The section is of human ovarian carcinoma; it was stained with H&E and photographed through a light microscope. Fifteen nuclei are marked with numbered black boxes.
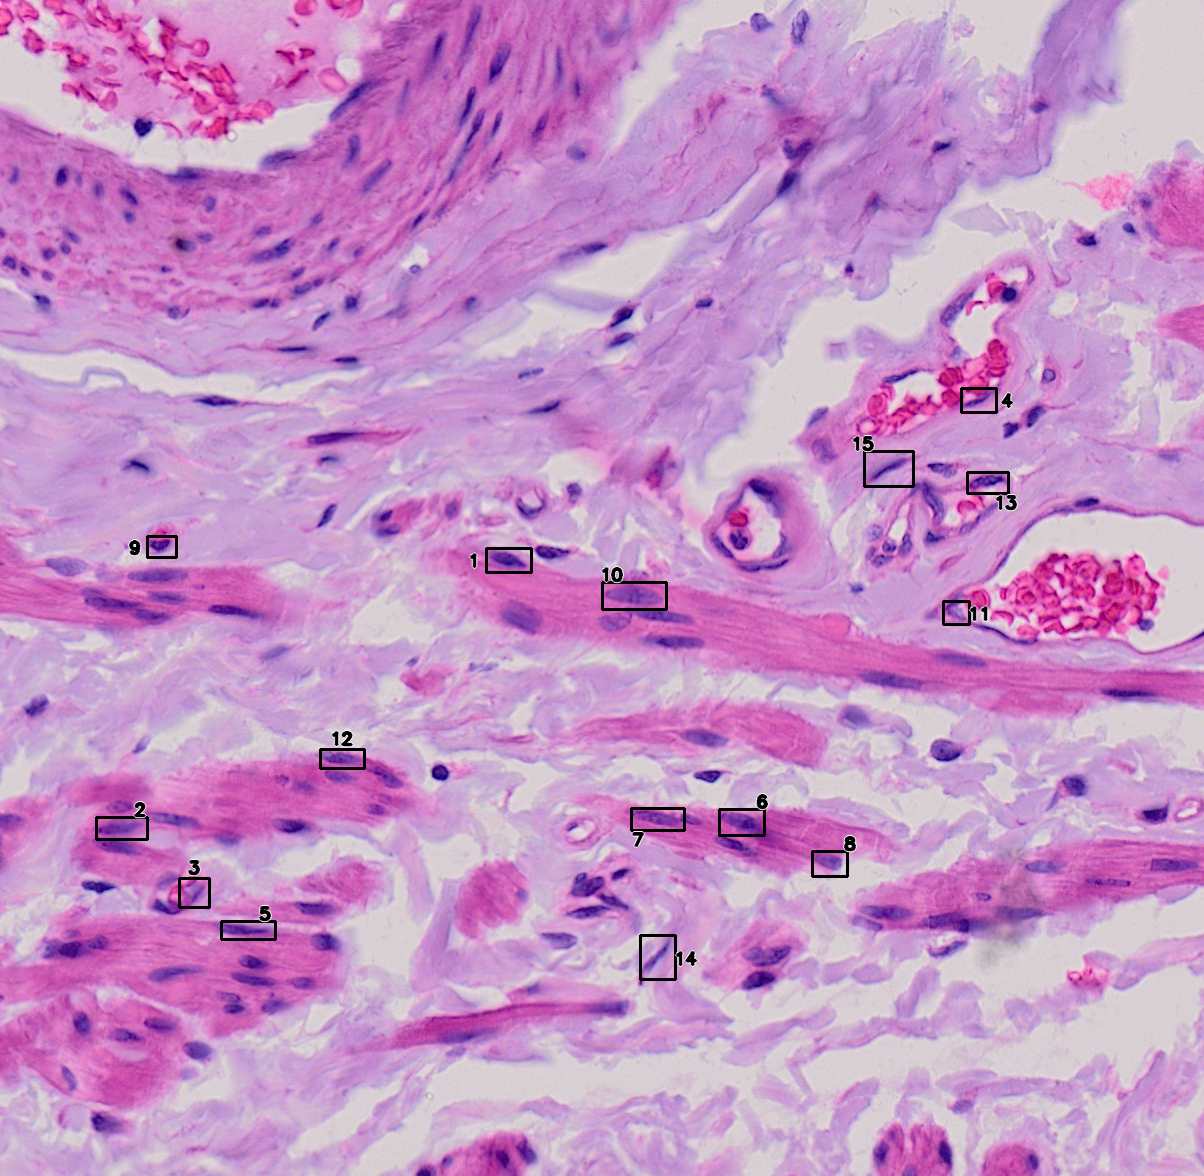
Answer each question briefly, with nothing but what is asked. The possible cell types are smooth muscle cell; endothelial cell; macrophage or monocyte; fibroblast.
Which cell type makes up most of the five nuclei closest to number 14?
endothelial cell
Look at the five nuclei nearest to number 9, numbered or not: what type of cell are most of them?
smooth muscle cell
